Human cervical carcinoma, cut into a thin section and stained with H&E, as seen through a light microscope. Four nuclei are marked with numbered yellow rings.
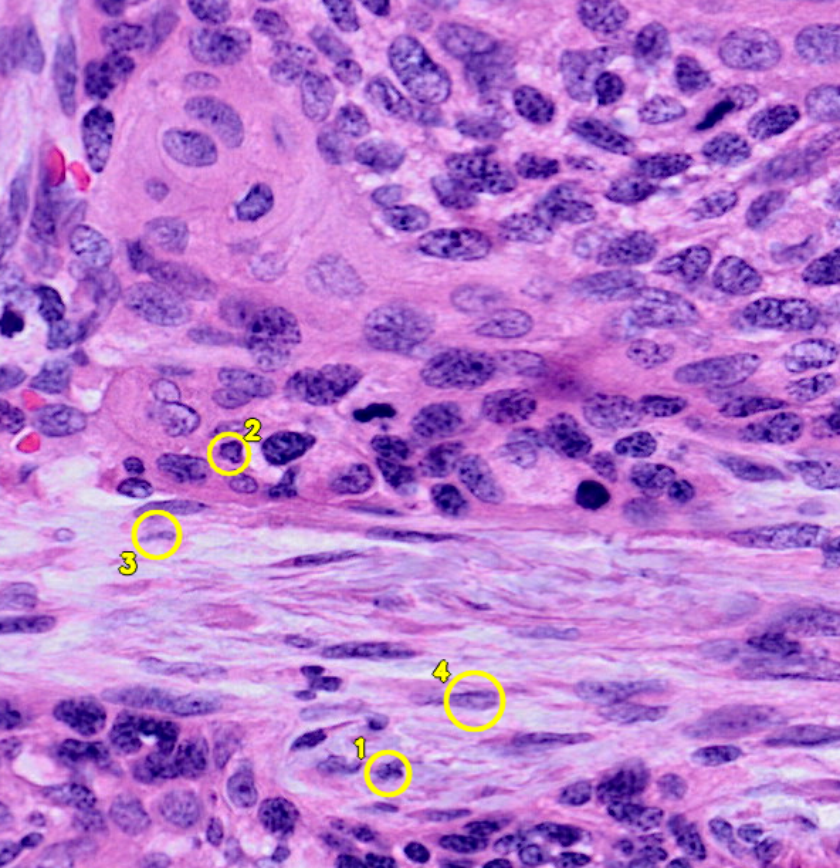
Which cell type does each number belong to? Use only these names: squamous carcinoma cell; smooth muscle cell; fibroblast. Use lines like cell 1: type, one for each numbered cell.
cell 1: fibroblast
cell 2: squamous carcinoma cell
cell 3: fibroblast
cell 4: fibroblast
